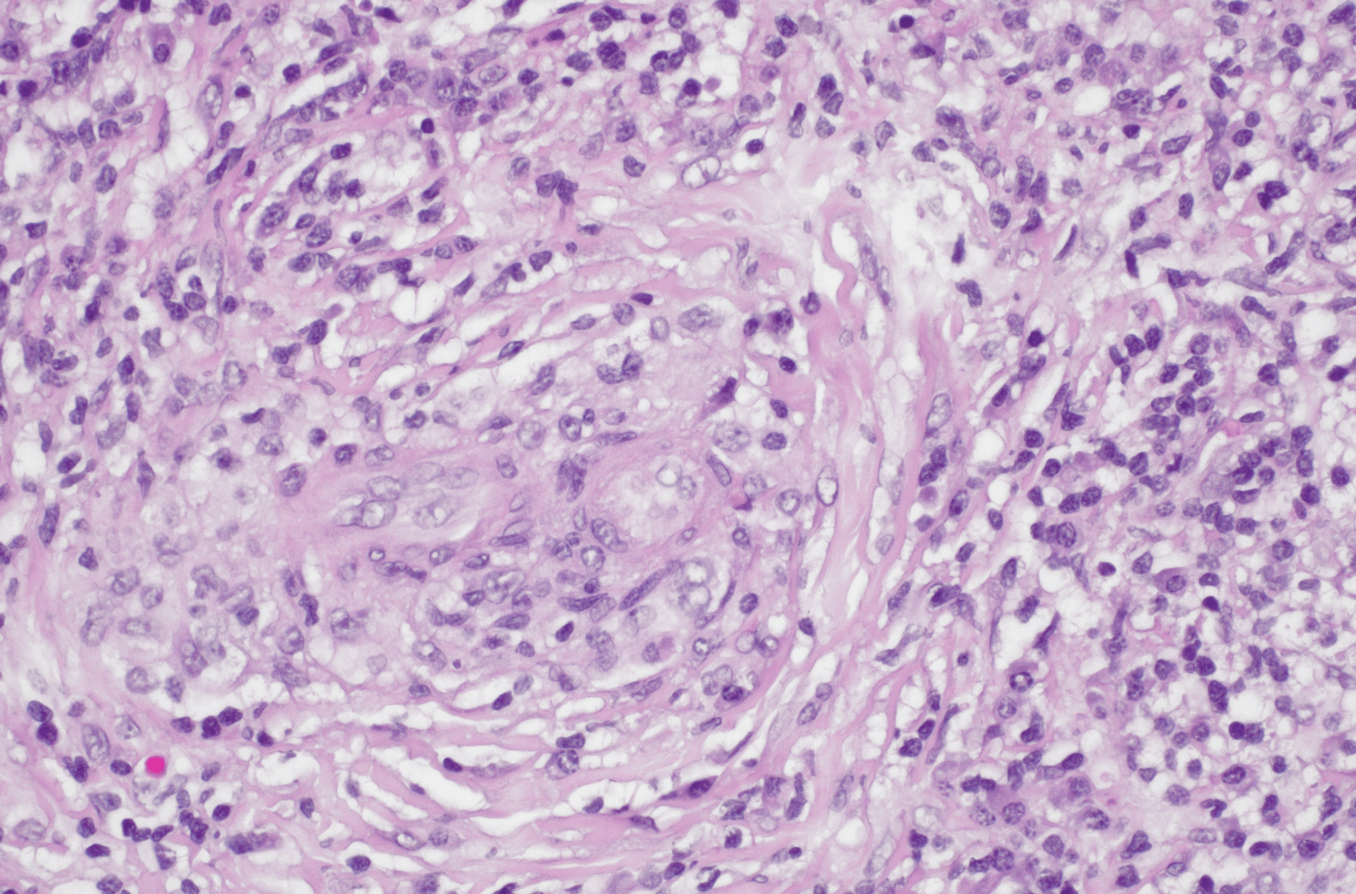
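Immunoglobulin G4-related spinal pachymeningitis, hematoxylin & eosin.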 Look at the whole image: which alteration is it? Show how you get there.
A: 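A round structure in the centre is outlined by concentric, wavy pink fibrous layers, like a vessel wall. The interior of this round structure is filled with cells, with no open lumen. Inflammatory cells lie within and across the concentric wall layers.
Hence: obliterative phlebitis.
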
